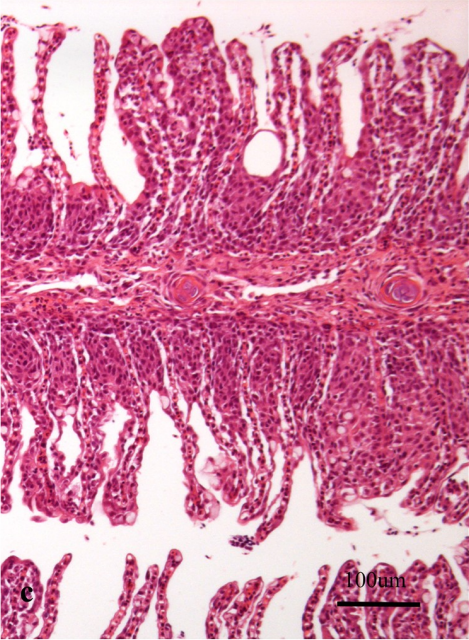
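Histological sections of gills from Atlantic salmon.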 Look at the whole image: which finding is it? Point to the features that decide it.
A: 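Bases of lamellae are merged by cell masses near the filament. On this evidence: thickened lamellae.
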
